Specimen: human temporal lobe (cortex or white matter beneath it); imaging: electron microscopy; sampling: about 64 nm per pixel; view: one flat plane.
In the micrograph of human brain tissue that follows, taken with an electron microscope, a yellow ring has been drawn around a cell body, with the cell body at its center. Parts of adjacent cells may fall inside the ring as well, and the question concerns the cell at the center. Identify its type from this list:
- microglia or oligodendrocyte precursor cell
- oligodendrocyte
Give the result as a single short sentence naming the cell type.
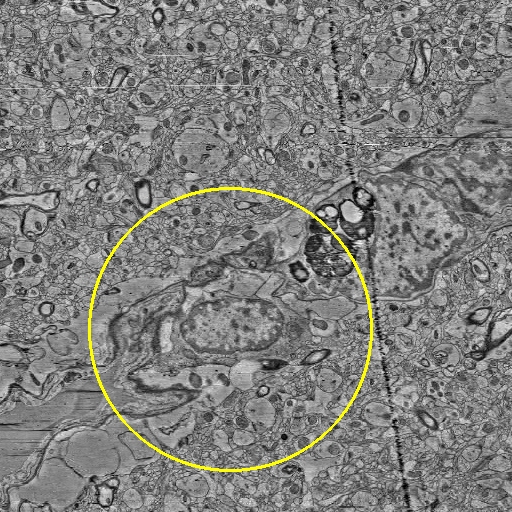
The ring is centered on an oligodendrocyte.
